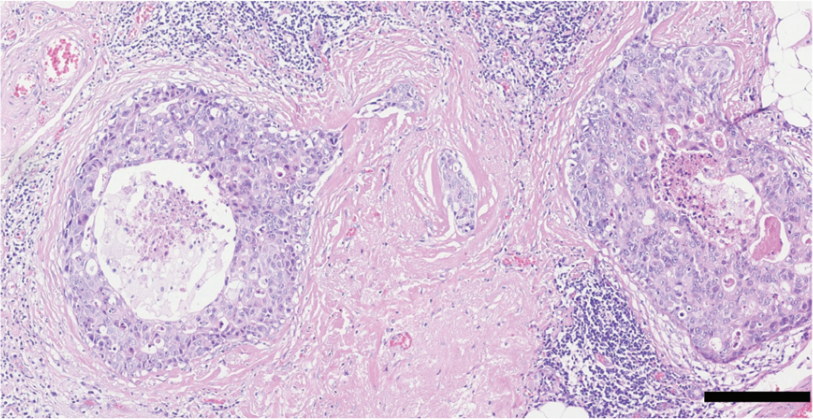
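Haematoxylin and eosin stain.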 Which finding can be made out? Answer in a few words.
preinvasive breast lesions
